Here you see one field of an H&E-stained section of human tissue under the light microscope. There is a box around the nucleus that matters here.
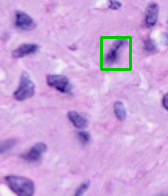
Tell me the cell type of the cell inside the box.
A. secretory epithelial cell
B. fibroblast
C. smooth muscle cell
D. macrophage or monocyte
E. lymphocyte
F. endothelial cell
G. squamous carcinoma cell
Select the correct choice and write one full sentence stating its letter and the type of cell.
Option B, identifying the cell inside the box as a fibroblast, is correct.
